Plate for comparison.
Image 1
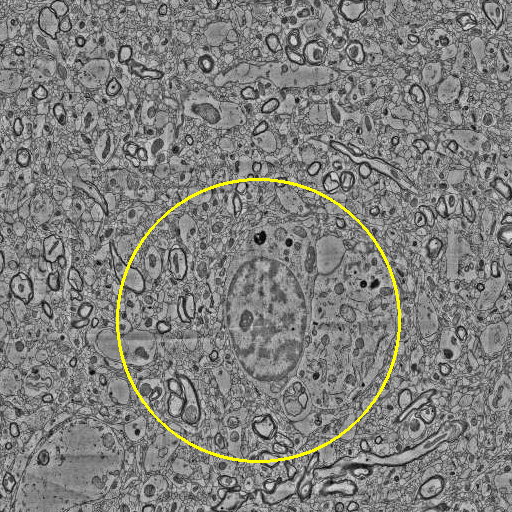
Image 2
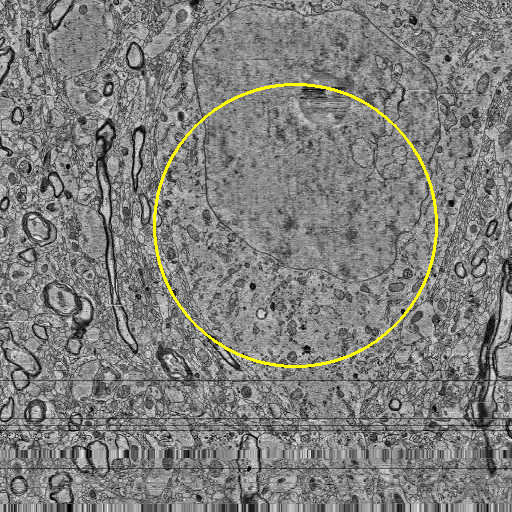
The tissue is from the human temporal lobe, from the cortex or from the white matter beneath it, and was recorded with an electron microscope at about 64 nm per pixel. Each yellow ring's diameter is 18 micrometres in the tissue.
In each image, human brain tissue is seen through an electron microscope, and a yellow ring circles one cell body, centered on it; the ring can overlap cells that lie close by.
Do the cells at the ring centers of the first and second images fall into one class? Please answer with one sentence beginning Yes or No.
No, the first and second images show two classes of cell at the ring centers.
